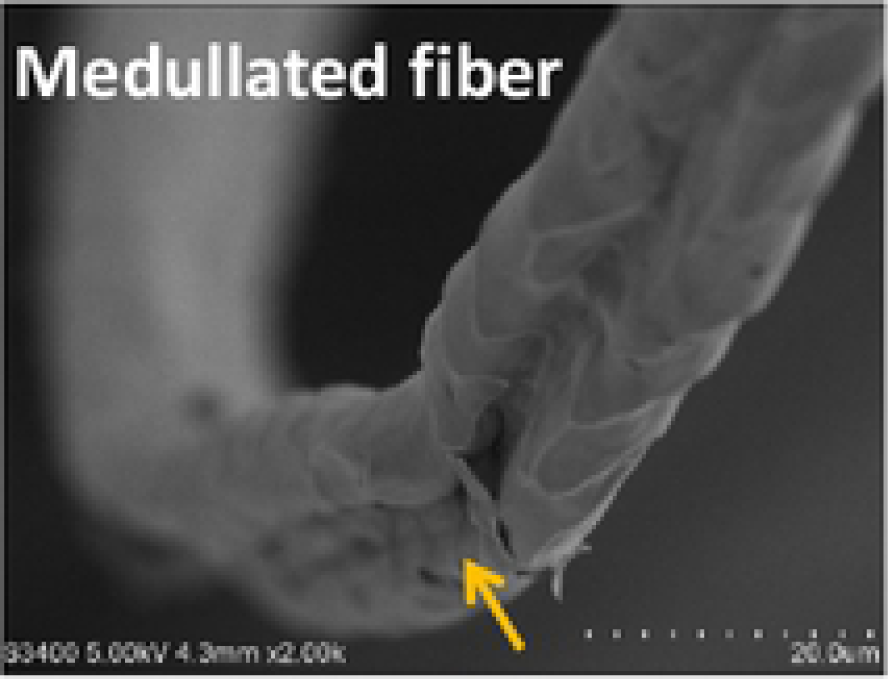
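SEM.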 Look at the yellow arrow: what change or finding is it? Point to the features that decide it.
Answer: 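Lesions and less well-defined areas in the cuticular septation. The fiber is bent with a frayed, lifted surface at the arrow. Scale margins are blurred and irregular.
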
